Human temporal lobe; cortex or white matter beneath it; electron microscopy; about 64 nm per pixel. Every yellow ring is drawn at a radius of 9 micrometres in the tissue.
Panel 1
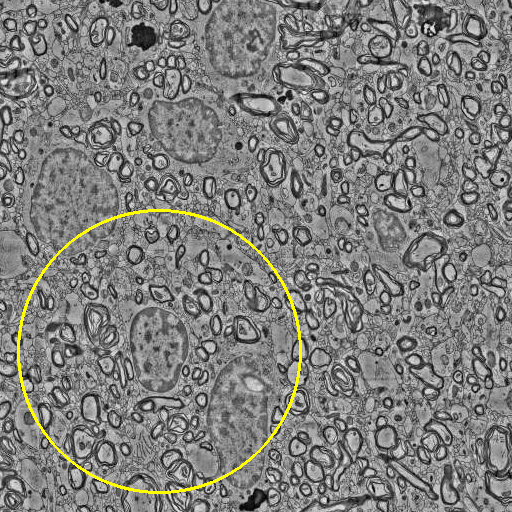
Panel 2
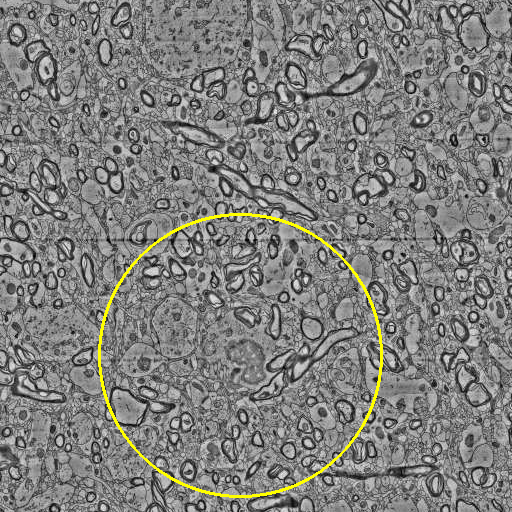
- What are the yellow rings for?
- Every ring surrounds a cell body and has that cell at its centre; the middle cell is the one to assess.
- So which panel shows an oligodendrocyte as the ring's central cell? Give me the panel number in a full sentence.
The panel whose ring is centred on the cell in question is panel 2.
